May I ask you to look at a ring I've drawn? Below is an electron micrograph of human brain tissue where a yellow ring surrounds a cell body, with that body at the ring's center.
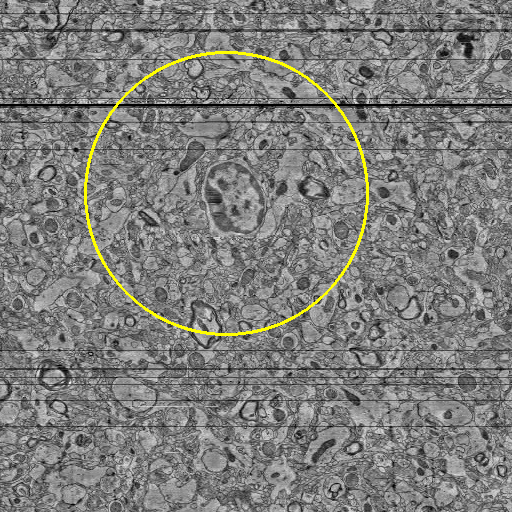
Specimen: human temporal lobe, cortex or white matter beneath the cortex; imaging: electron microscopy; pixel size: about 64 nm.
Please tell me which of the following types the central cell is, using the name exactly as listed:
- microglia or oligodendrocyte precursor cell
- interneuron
microglia or oligodendrocyte precursor cell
